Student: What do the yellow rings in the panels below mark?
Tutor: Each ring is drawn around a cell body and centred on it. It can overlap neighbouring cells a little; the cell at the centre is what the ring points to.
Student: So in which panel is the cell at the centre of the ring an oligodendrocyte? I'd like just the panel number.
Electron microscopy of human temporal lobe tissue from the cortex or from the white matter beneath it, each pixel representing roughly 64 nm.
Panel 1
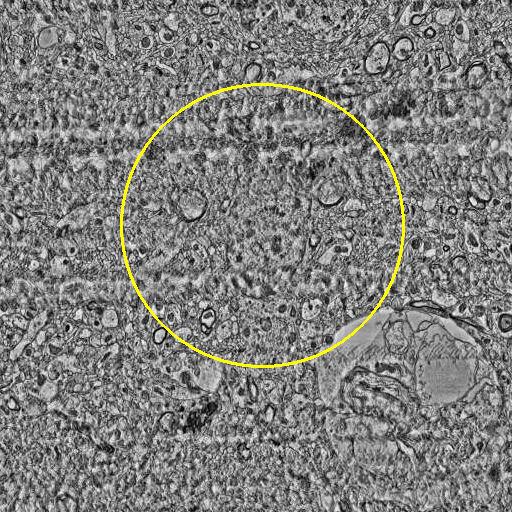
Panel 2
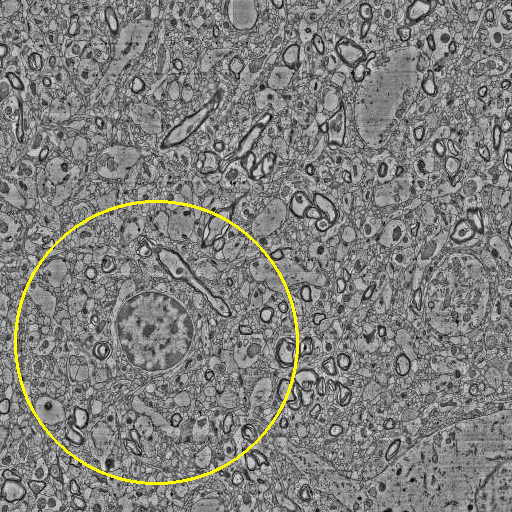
1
